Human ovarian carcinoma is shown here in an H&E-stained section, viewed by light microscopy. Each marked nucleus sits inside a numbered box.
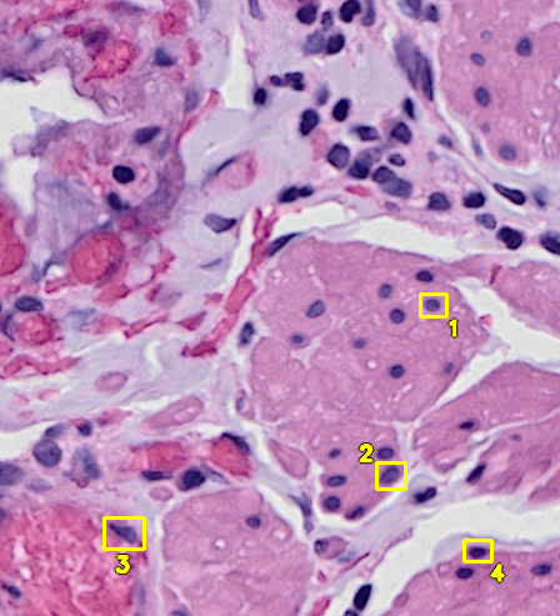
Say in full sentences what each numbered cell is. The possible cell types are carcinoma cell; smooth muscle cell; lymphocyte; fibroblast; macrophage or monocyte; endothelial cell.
Cells 1, 2 and 4 are smooth muscle cells. Cell 3 is an endothelial cell.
